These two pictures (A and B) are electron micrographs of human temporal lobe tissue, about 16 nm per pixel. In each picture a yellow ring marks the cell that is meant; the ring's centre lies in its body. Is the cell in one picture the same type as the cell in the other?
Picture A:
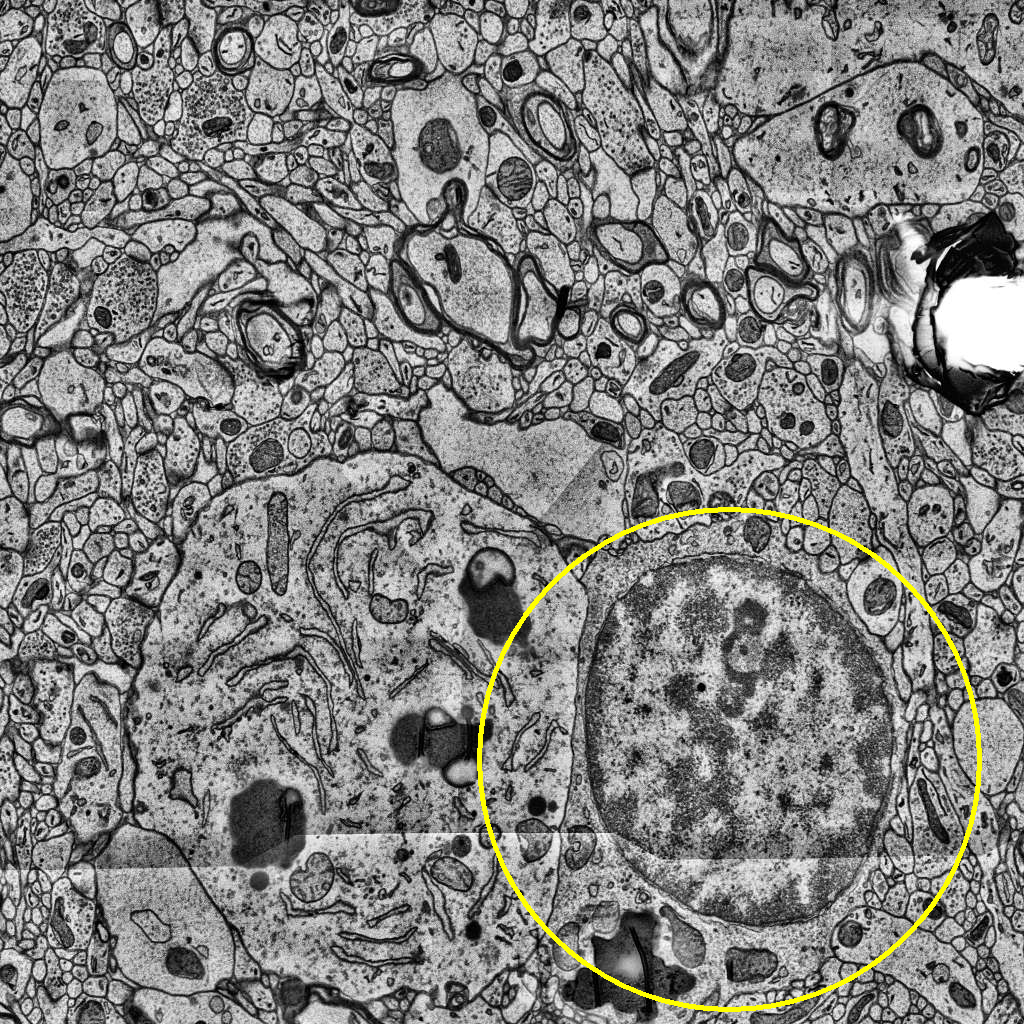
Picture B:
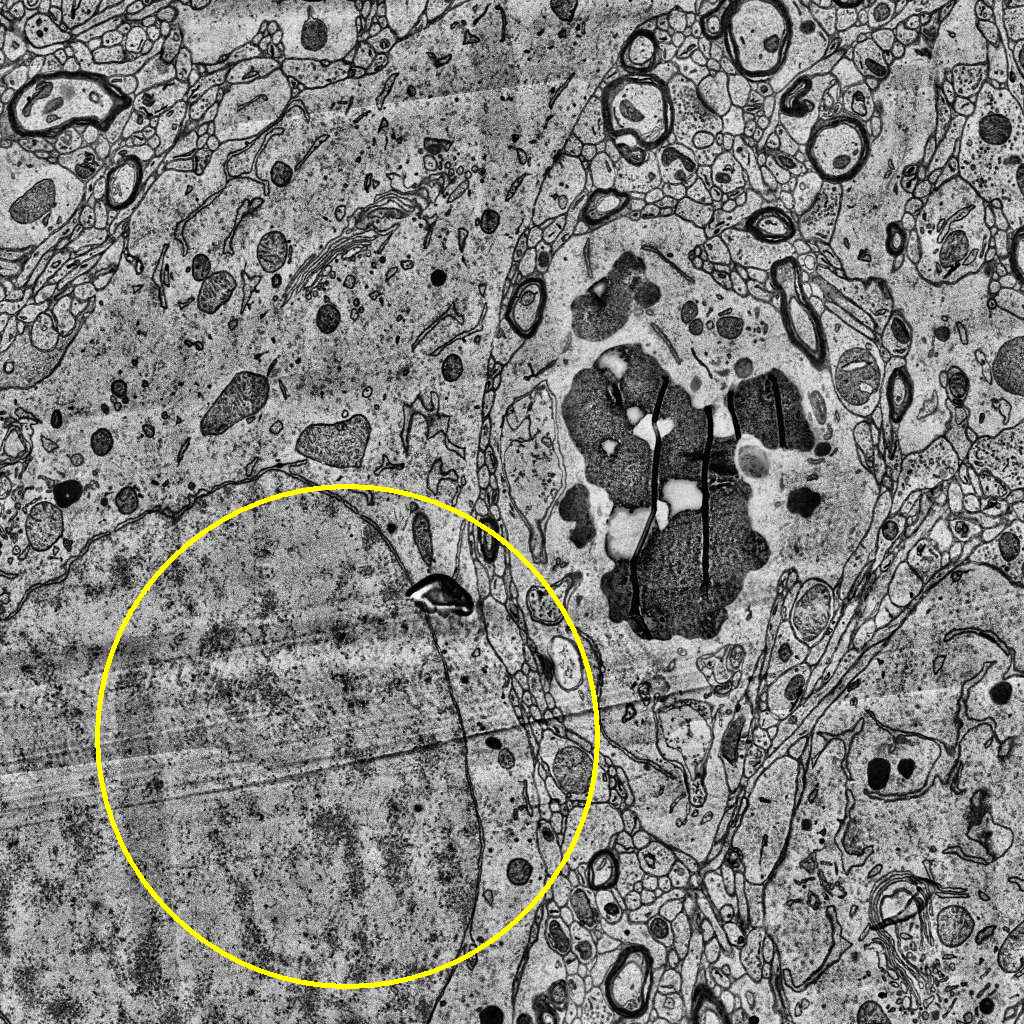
No. Picture A shows an oligodendrocyte, but picture B shows a pyramidal neuron.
